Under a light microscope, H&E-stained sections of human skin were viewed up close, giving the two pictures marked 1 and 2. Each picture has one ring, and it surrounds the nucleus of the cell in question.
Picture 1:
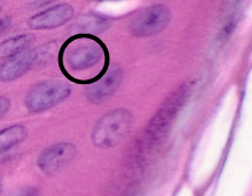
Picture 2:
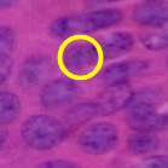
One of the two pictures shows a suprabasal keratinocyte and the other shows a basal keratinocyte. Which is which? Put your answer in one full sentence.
Picture 1 shows a suprabasal keratinocyte and picture 2 shows a basal keratinocyte.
